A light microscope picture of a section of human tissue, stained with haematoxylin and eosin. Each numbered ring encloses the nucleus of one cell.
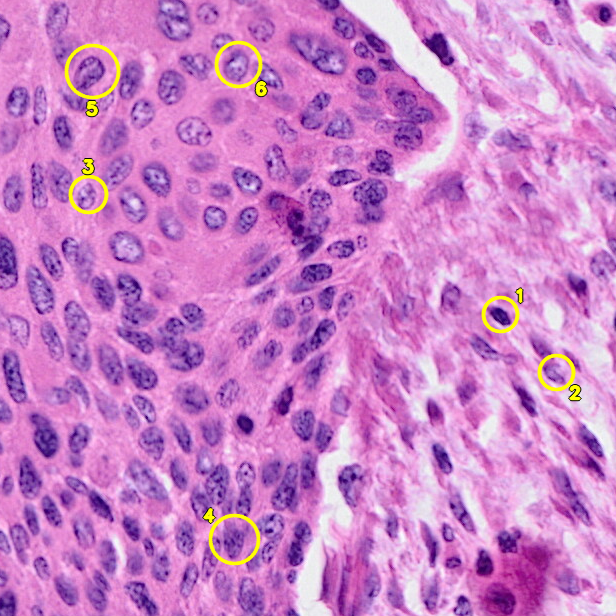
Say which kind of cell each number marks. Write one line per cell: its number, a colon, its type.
1: lymphocyte
2: fibroblast
3: squamous carcinoma cell
4: squamous carcinoma cell
5: squamous carcinoma cell
6: squamous carcinoma cell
